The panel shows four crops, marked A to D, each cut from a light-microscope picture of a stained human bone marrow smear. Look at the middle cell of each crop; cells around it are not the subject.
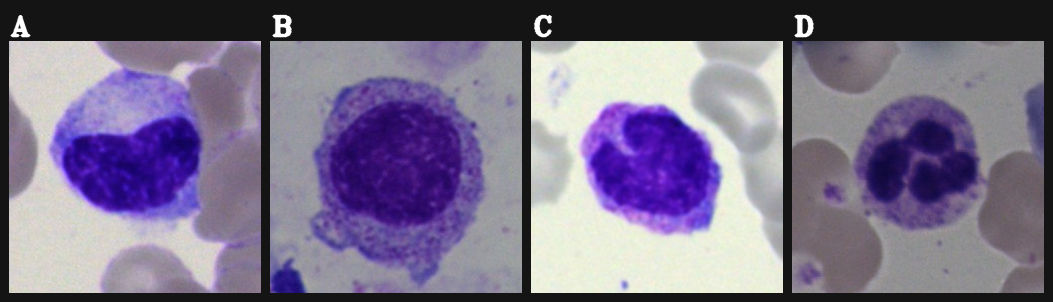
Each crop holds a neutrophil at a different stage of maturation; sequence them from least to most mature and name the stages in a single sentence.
The sequence of maturation runs crop B (a myelocyte), crop A (a metamyelocyte), crop C (a band neutrophil) and crop D (a segmented neutrophil), from least to most mature.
